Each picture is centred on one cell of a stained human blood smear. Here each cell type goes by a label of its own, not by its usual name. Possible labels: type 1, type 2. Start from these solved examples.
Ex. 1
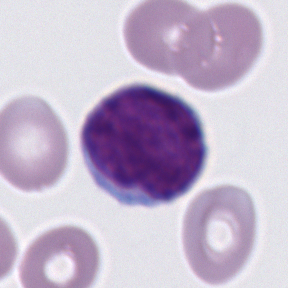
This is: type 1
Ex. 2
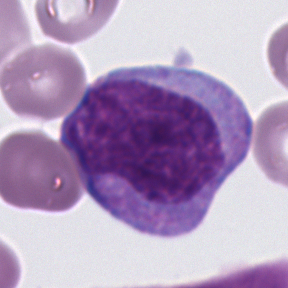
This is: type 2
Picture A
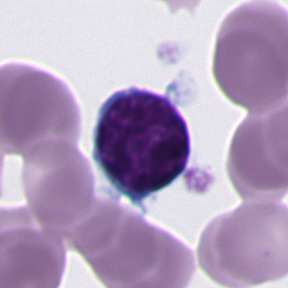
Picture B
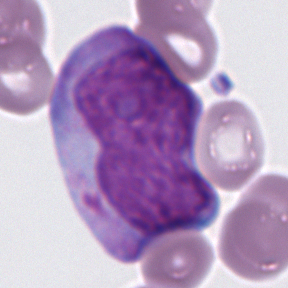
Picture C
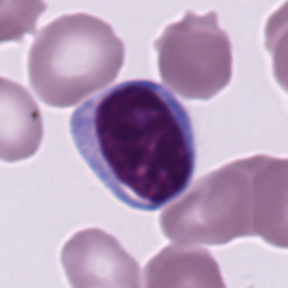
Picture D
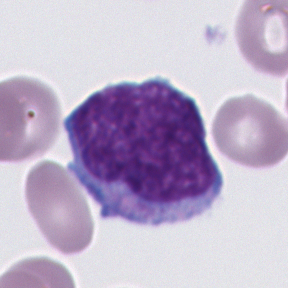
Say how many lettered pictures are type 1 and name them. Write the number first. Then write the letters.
2, namely A, C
